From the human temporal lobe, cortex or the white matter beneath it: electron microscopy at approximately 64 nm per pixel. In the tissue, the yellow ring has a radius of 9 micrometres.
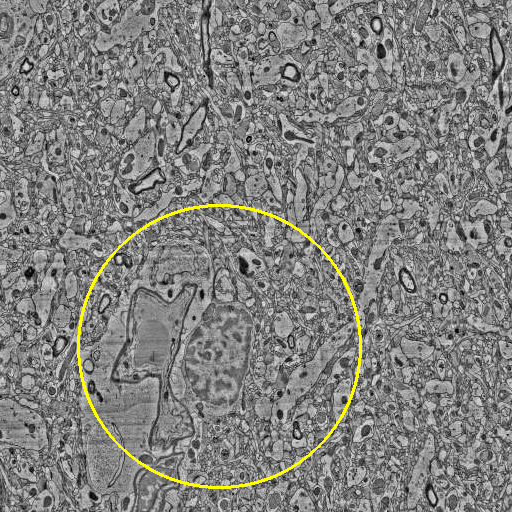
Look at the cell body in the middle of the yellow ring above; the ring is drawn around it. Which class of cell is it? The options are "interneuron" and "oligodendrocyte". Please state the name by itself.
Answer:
oligodendrocyte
